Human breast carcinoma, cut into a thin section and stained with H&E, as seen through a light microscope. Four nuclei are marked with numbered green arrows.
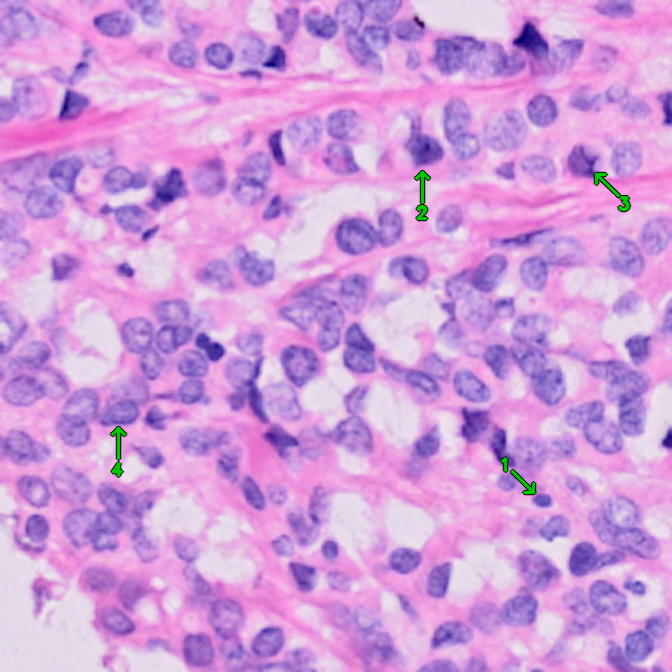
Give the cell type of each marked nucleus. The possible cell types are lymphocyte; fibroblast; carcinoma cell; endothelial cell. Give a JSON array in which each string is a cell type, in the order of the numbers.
["lymphocyte", "carcinoma cell", "carcinoma cell", "carcinoma cell"]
